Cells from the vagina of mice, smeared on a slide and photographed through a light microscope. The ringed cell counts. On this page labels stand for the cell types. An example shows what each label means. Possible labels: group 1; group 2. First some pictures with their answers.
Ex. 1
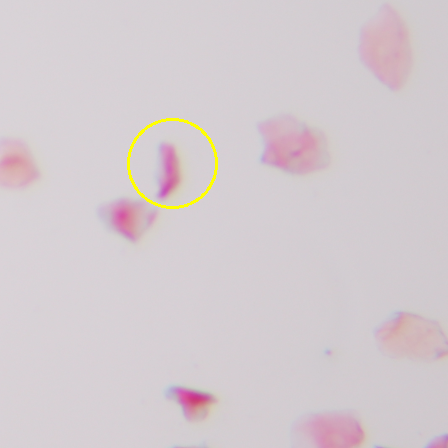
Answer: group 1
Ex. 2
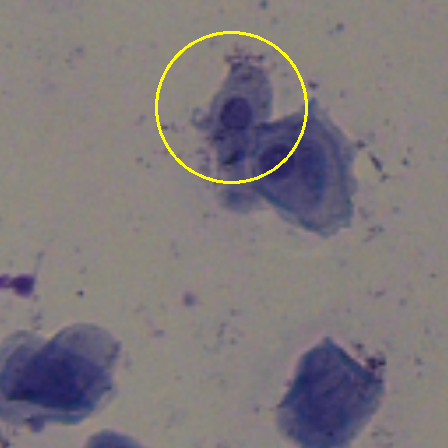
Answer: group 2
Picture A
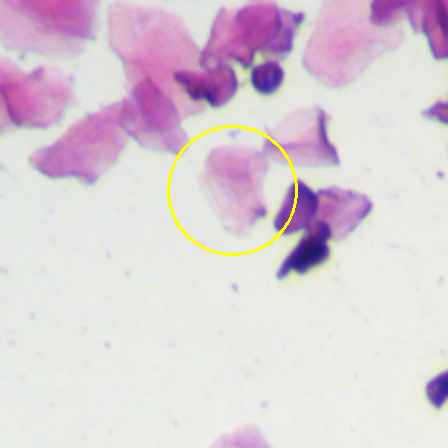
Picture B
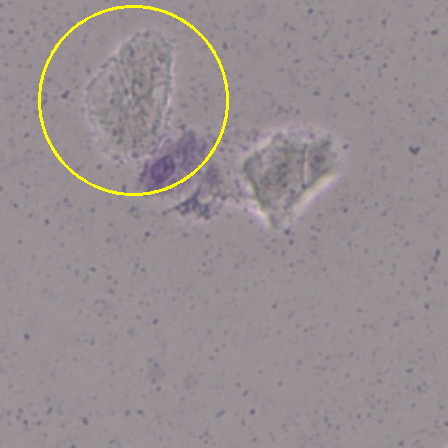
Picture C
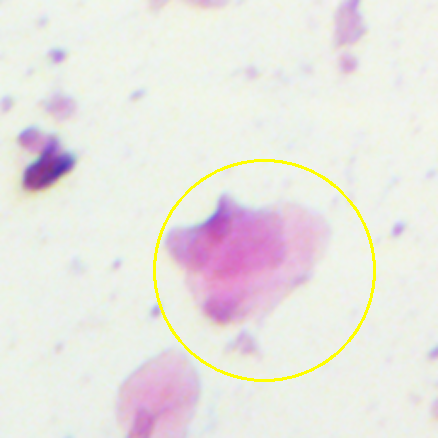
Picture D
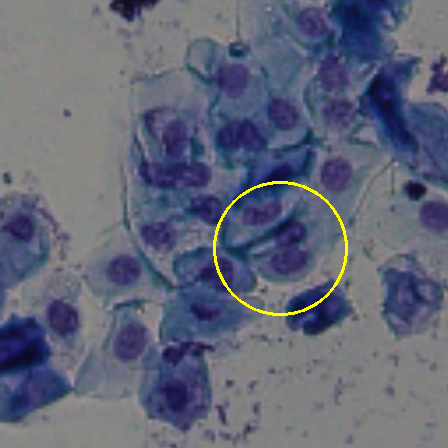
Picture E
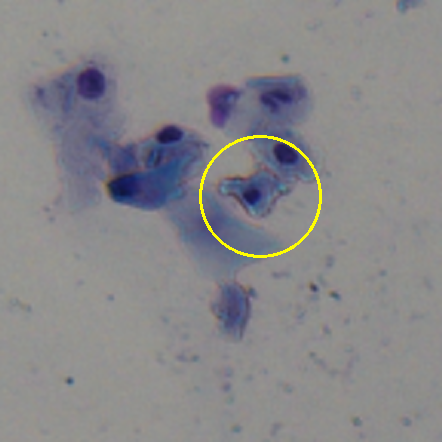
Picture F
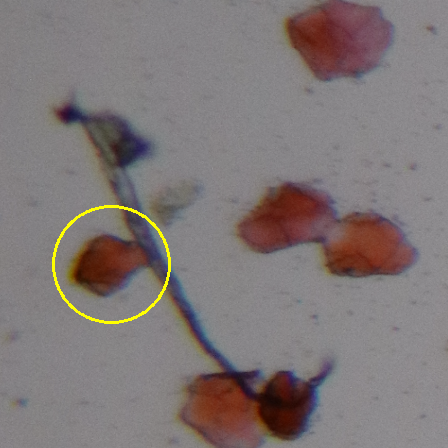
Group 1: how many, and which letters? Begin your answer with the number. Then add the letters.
4, namely A, B, C, F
